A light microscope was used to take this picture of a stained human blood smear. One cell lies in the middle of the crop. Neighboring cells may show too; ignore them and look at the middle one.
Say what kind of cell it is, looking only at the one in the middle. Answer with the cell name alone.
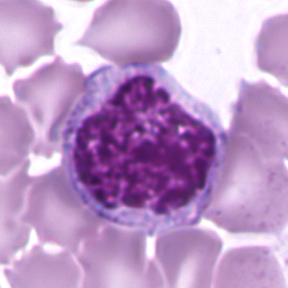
myelocyte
